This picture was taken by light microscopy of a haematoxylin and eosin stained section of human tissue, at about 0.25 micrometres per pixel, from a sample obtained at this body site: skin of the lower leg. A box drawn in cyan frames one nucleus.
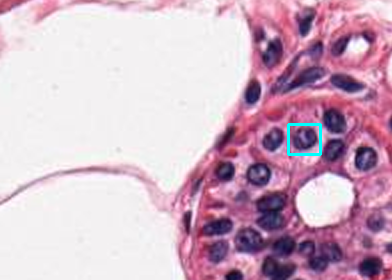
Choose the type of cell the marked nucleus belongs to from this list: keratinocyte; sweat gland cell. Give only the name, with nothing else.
sweat gland cell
